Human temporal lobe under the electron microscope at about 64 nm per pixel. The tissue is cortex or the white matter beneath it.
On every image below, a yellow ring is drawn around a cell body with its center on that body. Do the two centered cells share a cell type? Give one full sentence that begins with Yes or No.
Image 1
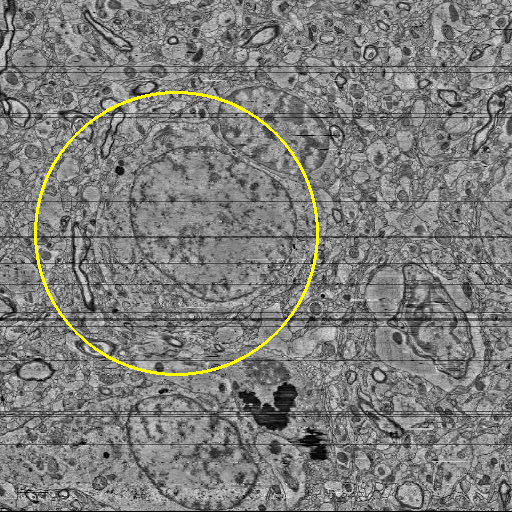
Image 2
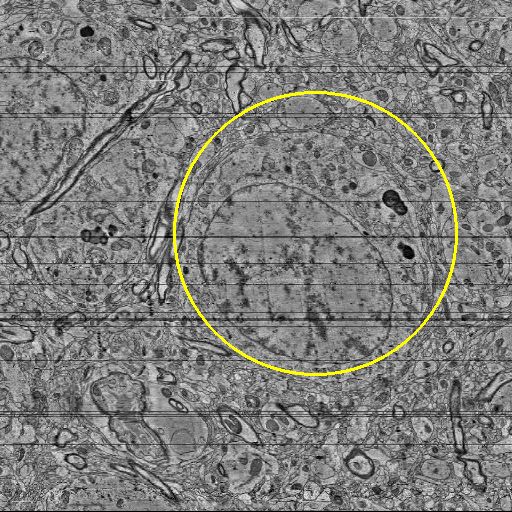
Yes, the centered cells in the two images are of a single cell type.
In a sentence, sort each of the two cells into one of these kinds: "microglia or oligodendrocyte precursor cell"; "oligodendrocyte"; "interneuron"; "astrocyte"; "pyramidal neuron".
Each cell at the centre of a ring is a pyramidal neuron.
